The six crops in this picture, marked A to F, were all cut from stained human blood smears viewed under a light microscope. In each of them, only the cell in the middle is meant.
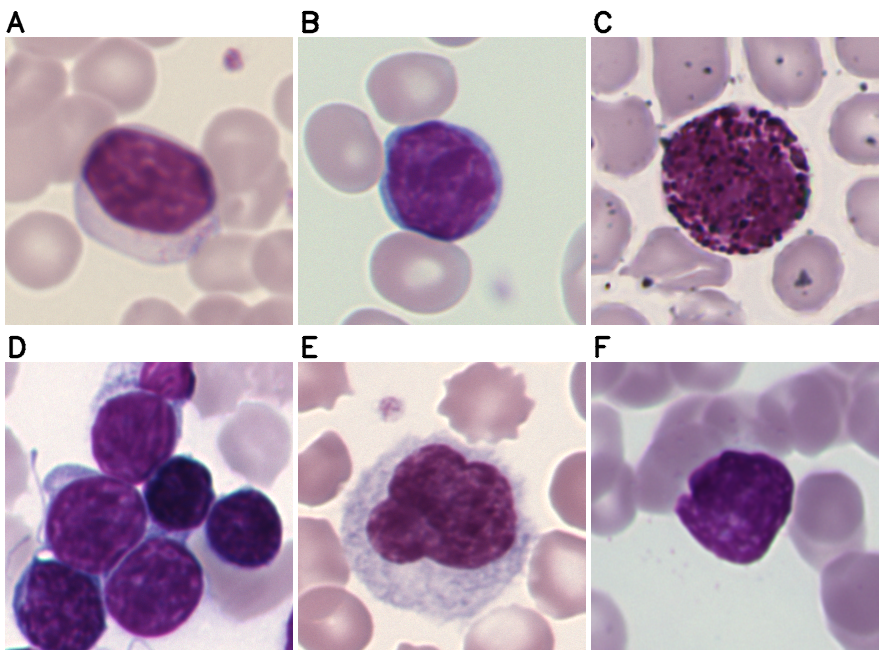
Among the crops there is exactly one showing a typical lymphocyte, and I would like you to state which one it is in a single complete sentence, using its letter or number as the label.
The crop with a typical lymphocyte in it is crop B.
